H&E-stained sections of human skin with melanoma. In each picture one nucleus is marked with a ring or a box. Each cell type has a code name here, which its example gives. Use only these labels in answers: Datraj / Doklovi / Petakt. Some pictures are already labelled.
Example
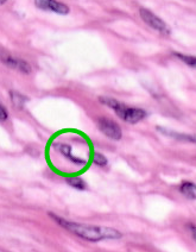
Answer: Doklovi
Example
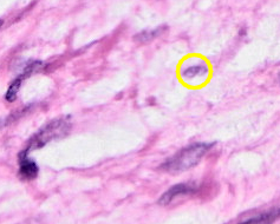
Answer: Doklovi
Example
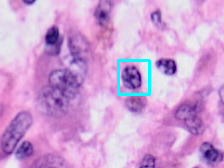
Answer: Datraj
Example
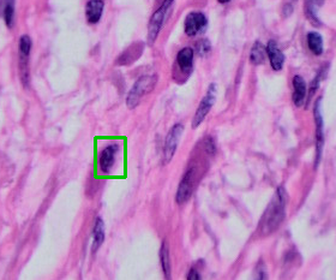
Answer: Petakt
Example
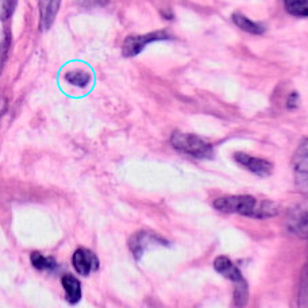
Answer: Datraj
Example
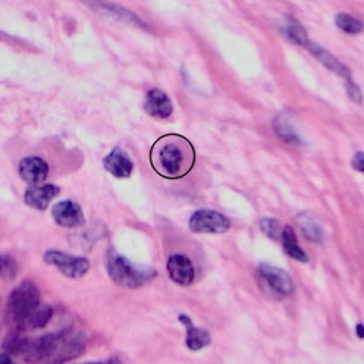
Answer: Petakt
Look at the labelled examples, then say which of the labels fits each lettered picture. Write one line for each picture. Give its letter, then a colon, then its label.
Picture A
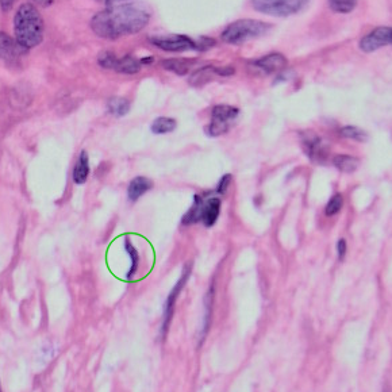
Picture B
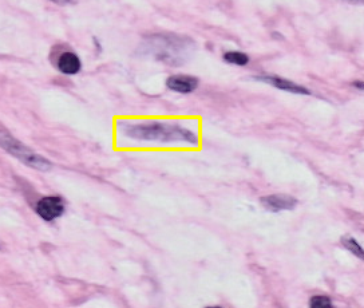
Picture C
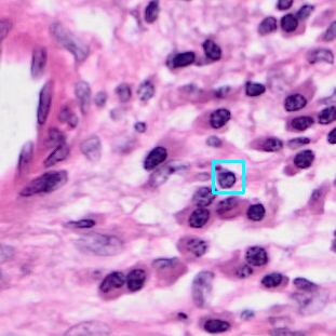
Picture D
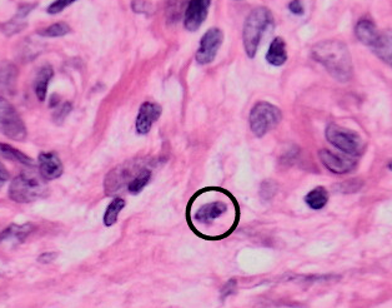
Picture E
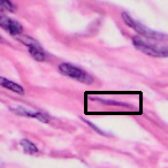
A: Doklovi
B: Doklovi
C: Datraj
D: Datraj
E: Doklovi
